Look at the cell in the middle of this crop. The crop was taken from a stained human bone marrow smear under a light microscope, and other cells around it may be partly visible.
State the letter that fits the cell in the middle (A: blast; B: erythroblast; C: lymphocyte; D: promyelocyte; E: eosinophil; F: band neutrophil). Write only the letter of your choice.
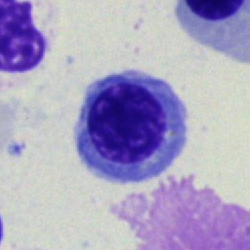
B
